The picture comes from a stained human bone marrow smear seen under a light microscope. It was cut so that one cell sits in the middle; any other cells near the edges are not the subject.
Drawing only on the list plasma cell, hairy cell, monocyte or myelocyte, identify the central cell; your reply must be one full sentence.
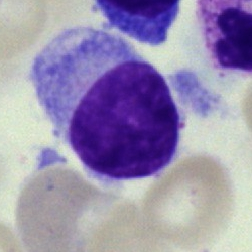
Among the cells in view, the one in the middle is a hairy cell.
